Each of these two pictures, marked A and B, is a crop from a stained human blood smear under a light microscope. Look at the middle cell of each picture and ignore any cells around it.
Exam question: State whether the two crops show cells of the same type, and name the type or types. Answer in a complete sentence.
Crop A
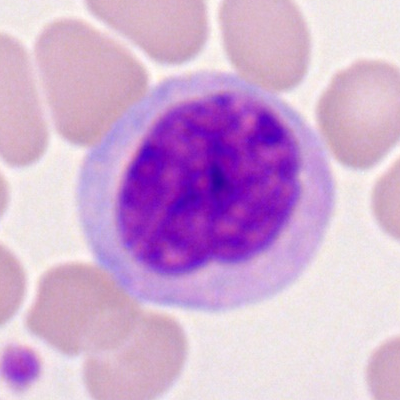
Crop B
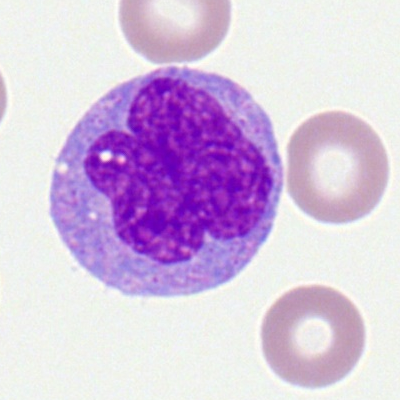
Yes, both of the crops show monocytes.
